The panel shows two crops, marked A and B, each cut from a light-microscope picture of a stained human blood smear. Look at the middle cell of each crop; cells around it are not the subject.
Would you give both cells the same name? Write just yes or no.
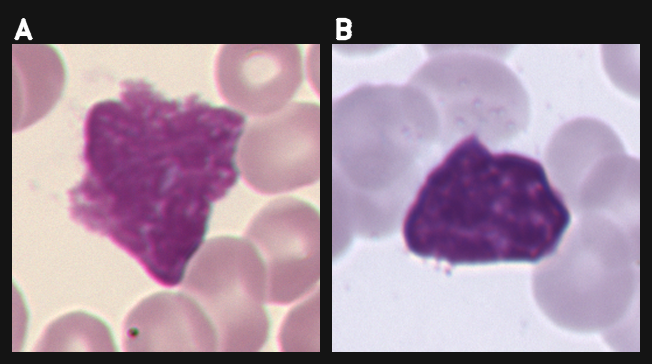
yes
